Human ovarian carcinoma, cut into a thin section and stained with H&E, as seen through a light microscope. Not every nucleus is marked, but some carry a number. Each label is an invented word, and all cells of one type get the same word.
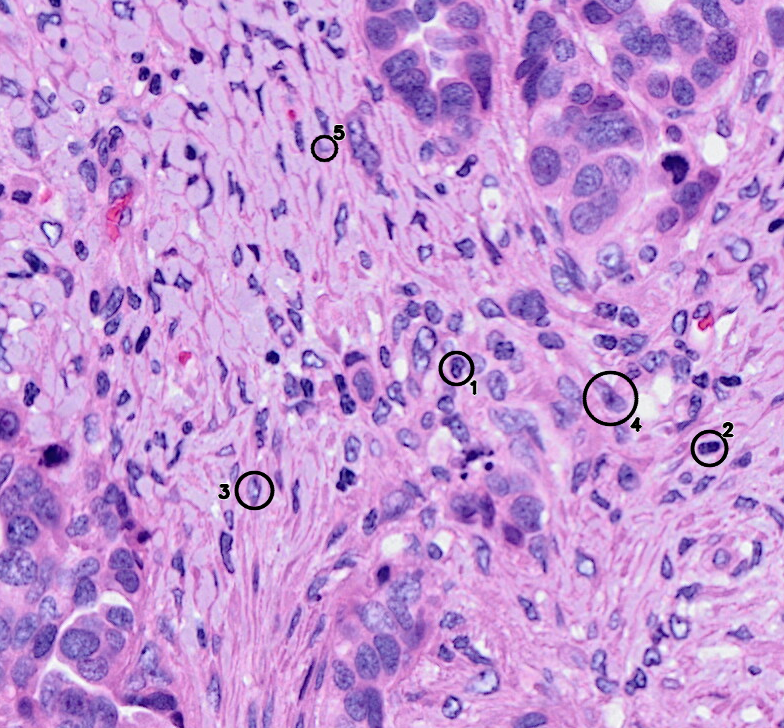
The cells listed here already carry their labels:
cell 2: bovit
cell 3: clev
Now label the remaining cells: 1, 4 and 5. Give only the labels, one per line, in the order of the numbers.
bovit
clev
clev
